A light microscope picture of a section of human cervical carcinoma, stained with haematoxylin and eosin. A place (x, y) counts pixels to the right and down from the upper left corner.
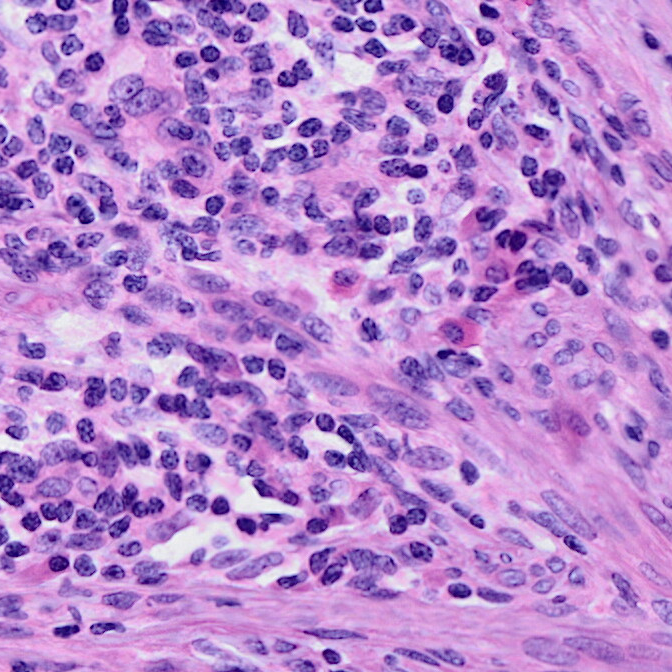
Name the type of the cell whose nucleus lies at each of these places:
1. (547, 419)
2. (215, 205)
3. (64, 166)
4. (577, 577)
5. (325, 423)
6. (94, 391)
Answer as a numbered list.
1. smooth muscle cell
2. lymphocyte
3. lymphocyte
4. smooth muscle cell
5. lymphocyte
6. lymphocyte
